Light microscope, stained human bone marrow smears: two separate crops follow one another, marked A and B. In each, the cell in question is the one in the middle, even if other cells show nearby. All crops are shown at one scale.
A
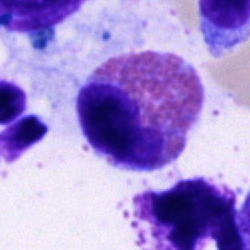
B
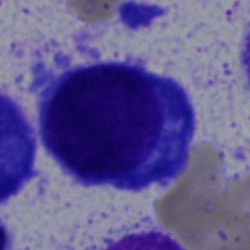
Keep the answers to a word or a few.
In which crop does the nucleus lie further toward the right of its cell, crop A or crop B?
B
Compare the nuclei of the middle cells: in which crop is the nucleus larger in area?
B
